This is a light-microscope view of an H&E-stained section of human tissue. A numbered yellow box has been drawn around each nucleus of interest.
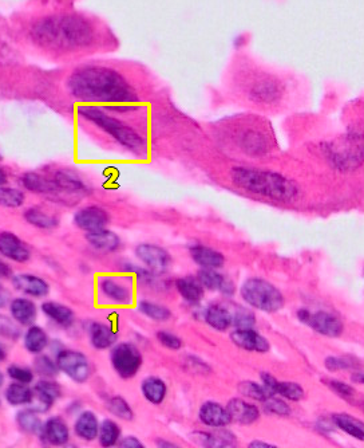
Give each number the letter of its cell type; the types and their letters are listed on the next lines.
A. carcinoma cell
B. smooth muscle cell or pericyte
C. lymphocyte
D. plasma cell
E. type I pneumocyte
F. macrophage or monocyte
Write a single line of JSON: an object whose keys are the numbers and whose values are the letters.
{"1": "C", "2": "A"}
